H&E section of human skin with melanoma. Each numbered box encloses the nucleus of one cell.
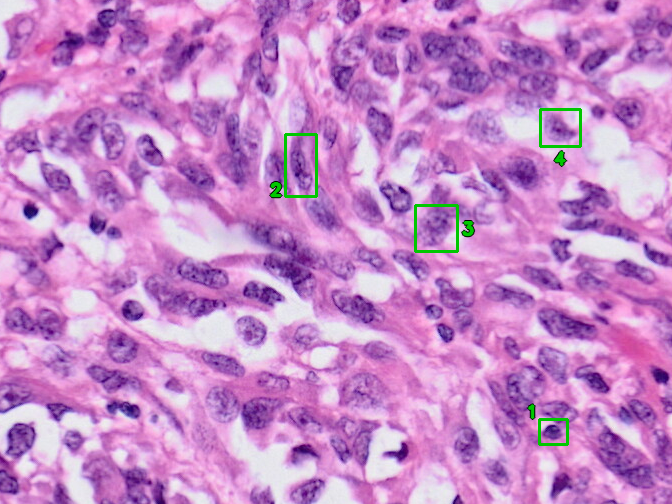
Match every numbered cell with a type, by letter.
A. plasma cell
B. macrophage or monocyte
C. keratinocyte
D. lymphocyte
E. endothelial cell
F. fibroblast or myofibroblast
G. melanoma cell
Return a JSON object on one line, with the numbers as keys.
{"1": "D", "2": "G", "3": "G", "4": "G"}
